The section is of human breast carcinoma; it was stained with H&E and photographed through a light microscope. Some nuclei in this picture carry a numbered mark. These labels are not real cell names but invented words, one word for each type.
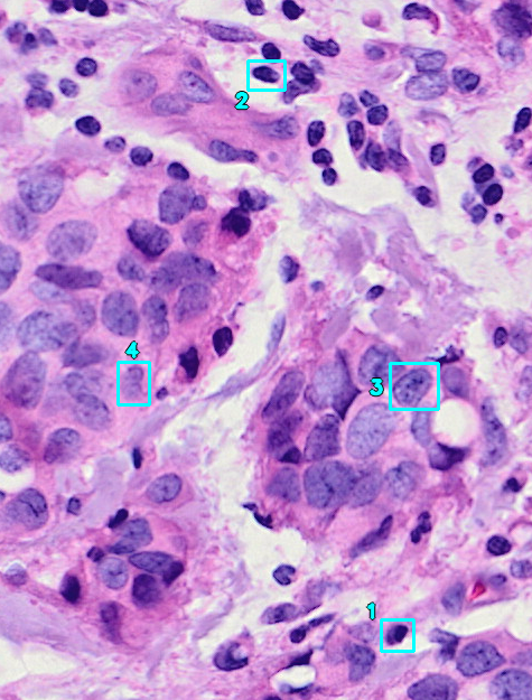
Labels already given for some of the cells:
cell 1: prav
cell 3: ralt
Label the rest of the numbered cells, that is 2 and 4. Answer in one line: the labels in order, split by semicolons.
prav; ralt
